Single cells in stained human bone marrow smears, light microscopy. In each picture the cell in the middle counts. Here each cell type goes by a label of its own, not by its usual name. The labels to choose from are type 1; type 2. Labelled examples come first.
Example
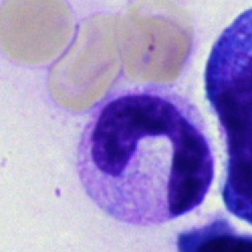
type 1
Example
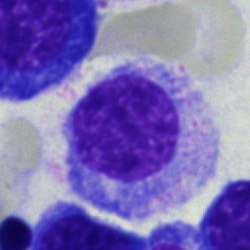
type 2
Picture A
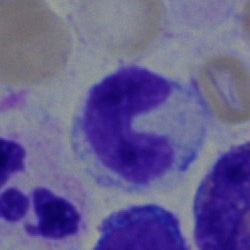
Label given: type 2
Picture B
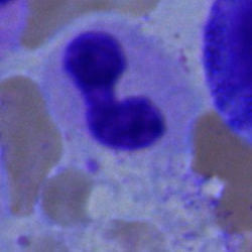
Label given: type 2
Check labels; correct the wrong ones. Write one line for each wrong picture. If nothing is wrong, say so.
Wrong: A (type 2); correct: type 1
Wrong: B (type 2); correct: type 1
